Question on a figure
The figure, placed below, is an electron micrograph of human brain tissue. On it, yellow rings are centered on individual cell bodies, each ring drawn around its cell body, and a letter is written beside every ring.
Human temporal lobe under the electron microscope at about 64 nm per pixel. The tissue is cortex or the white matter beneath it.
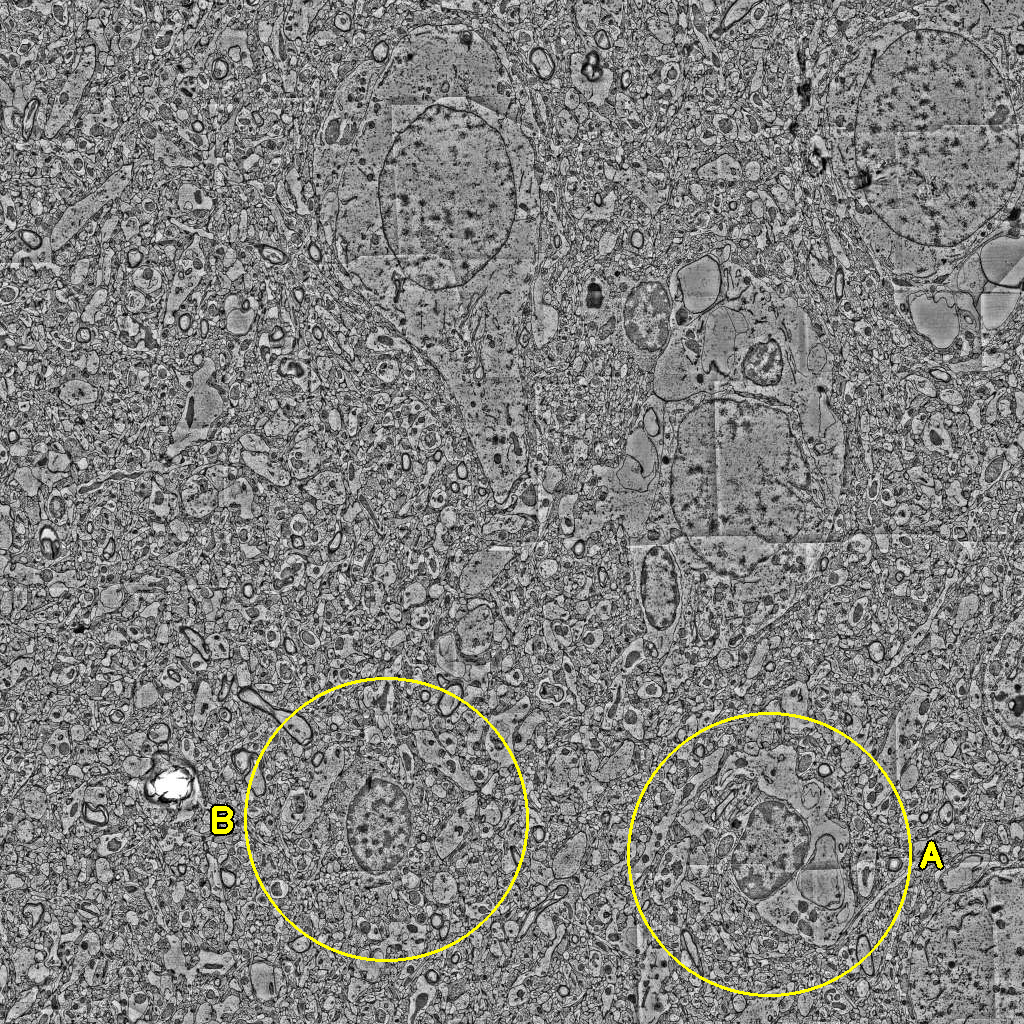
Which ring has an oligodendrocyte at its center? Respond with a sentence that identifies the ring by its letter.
The ring marked B has it at its center.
